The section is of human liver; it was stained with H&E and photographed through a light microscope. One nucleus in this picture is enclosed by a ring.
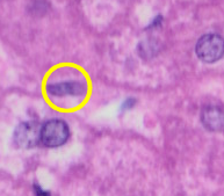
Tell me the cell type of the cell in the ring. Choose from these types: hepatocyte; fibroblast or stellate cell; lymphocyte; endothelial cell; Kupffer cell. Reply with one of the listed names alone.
Kupffer cell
